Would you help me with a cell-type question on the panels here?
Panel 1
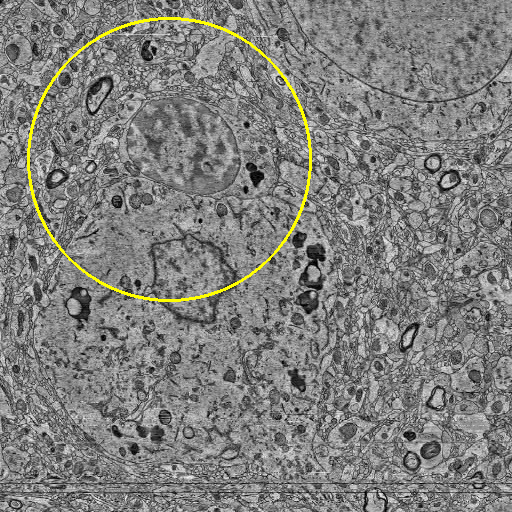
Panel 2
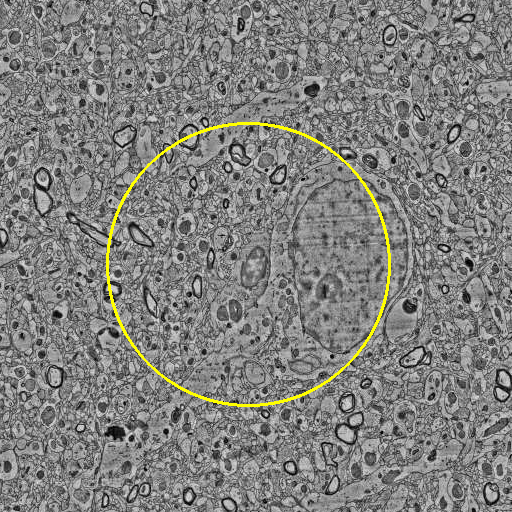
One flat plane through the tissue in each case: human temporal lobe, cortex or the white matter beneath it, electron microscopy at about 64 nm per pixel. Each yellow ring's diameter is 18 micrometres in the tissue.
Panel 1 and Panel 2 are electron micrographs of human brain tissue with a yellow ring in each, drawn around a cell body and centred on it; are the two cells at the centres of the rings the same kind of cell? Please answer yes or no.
yes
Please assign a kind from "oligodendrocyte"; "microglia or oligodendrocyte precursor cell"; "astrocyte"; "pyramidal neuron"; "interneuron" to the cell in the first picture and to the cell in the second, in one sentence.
Both cells are the same kind, each one being an oligodendrocyte.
